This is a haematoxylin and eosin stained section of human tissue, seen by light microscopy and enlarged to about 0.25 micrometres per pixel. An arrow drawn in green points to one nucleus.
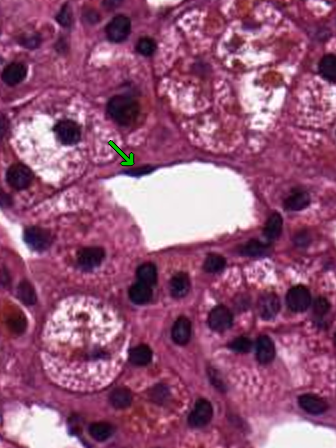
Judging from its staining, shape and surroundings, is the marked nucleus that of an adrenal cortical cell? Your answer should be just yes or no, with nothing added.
no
